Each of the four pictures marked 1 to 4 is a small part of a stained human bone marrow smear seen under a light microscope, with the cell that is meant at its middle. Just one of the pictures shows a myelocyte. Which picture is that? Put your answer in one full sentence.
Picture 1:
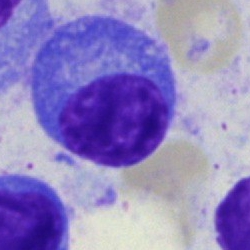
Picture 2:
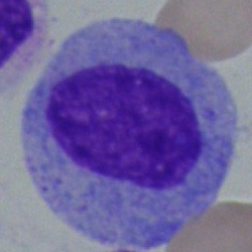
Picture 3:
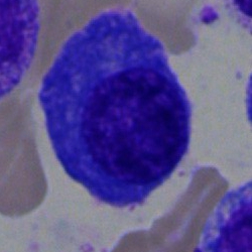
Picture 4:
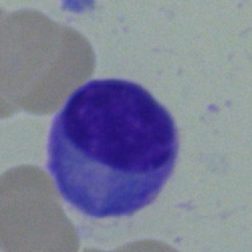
Picture 2 shows the myelocyte.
